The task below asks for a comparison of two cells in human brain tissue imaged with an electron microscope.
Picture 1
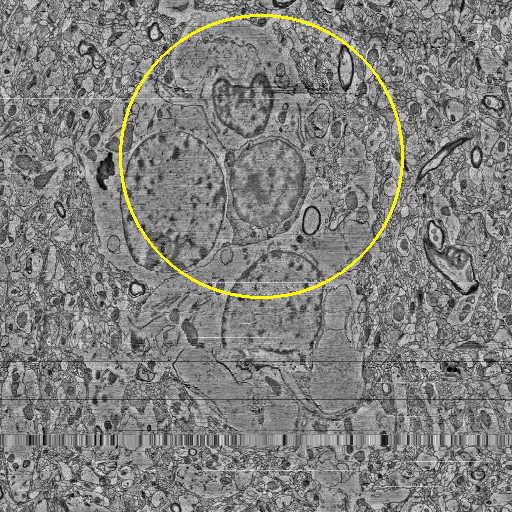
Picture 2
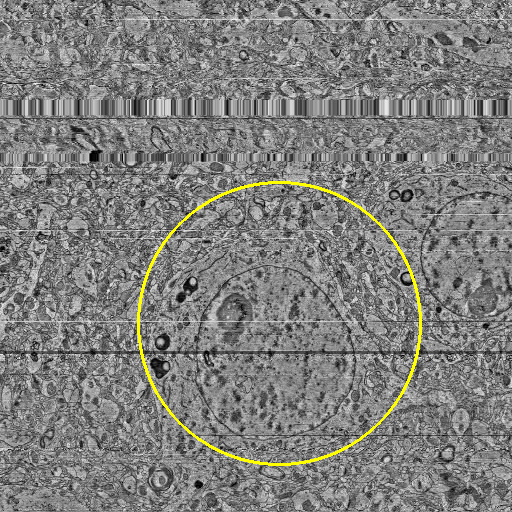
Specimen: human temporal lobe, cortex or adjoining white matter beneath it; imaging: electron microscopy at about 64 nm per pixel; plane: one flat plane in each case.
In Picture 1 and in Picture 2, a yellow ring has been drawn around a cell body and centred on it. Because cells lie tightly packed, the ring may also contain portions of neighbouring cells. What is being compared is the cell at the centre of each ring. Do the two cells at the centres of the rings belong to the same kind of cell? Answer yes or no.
no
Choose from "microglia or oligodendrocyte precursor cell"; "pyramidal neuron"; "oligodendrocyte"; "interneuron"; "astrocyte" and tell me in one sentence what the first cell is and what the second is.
What the first ring is centred on is an oligodendrocyte; what the second ring is centred on is a pyramidal neuron.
